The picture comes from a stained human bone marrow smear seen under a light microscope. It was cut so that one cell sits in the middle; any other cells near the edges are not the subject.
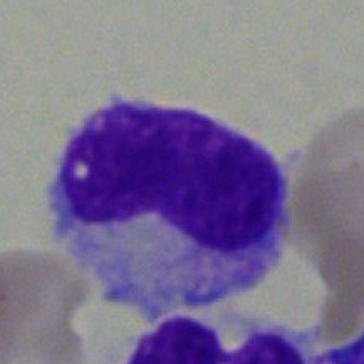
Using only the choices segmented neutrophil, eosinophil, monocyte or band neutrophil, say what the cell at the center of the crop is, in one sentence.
The cell the crop is centered on is a band neutrophil.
